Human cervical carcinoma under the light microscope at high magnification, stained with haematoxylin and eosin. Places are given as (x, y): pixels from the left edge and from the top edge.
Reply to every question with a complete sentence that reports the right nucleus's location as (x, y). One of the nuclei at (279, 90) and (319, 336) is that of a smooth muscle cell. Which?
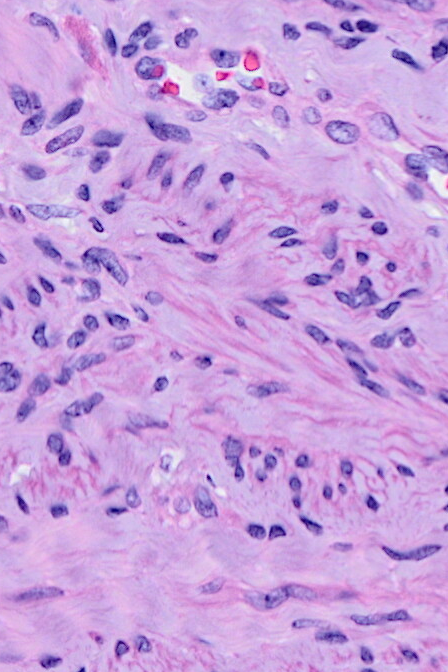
Among the two nuclei, the one found at (319, 336) belongs to a smooth muscle cell.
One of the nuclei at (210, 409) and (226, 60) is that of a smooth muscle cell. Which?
The nucleus of a smooth muscle cell is the one found at (210, 409), not the other.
